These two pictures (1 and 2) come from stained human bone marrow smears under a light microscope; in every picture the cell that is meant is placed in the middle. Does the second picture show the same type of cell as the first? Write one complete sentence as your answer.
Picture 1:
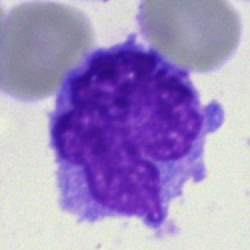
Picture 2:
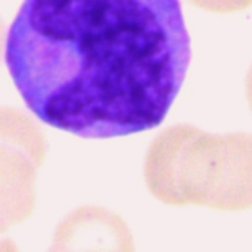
Yes, both cells are monocytes.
